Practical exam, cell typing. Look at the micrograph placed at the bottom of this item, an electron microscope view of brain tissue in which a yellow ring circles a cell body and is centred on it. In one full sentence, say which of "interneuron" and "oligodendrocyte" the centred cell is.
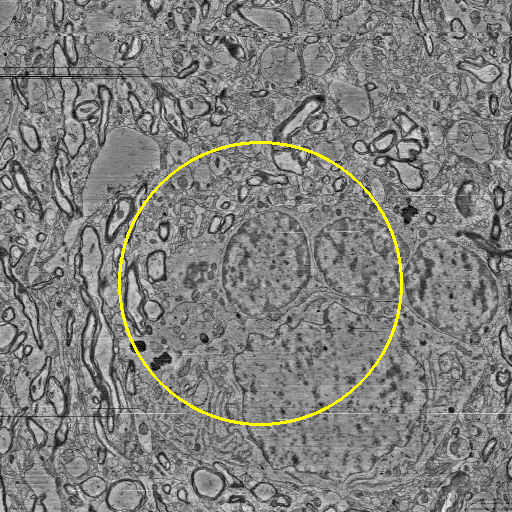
Given the options, an oligodendrocyte fits the cell whose body the yellow ring is centred on.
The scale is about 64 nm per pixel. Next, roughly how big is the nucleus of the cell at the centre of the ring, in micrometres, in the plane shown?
In this plane the nucleus measures roughly 6 micrometres across.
